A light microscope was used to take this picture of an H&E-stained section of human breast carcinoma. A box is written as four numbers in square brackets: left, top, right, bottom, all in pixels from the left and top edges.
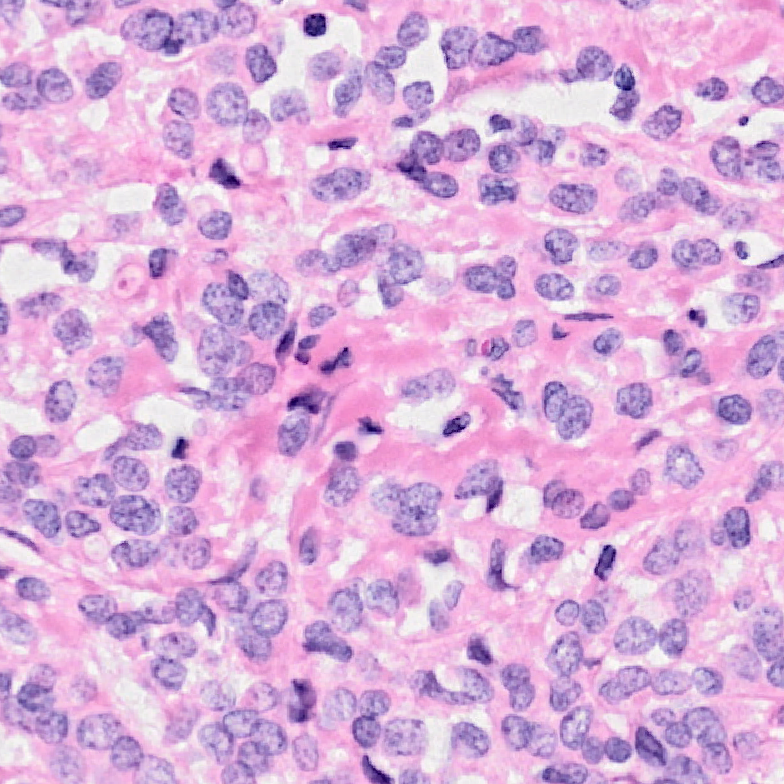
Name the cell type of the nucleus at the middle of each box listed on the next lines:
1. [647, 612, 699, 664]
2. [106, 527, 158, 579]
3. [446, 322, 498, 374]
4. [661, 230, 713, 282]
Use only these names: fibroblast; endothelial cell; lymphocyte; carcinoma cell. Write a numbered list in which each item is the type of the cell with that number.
1. carcinoma cell
2. carcinoma cell
3. endothelial cell
4. carcinoma cell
